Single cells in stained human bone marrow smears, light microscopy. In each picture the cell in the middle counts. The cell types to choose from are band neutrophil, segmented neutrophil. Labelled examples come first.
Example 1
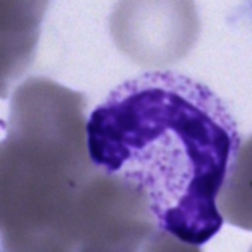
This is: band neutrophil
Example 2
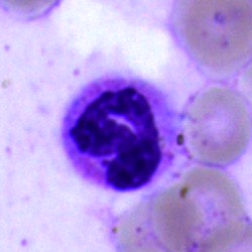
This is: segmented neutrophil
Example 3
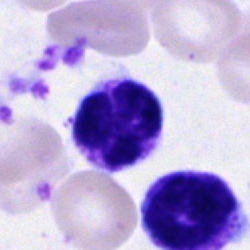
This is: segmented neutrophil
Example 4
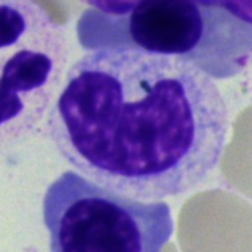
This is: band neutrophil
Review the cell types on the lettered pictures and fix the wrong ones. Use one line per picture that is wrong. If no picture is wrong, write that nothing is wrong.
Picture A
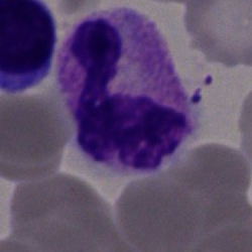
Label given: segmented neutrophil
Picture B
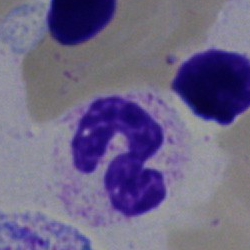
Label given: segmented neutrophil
Nothing to fix; every label fits.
